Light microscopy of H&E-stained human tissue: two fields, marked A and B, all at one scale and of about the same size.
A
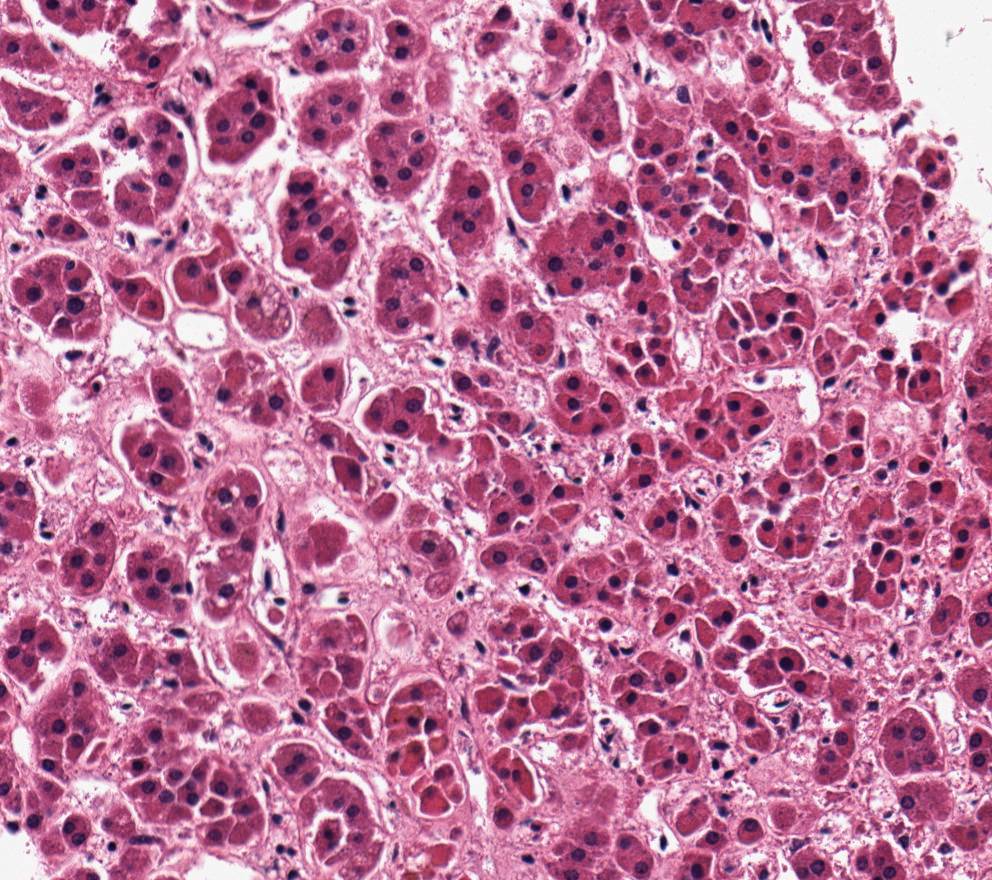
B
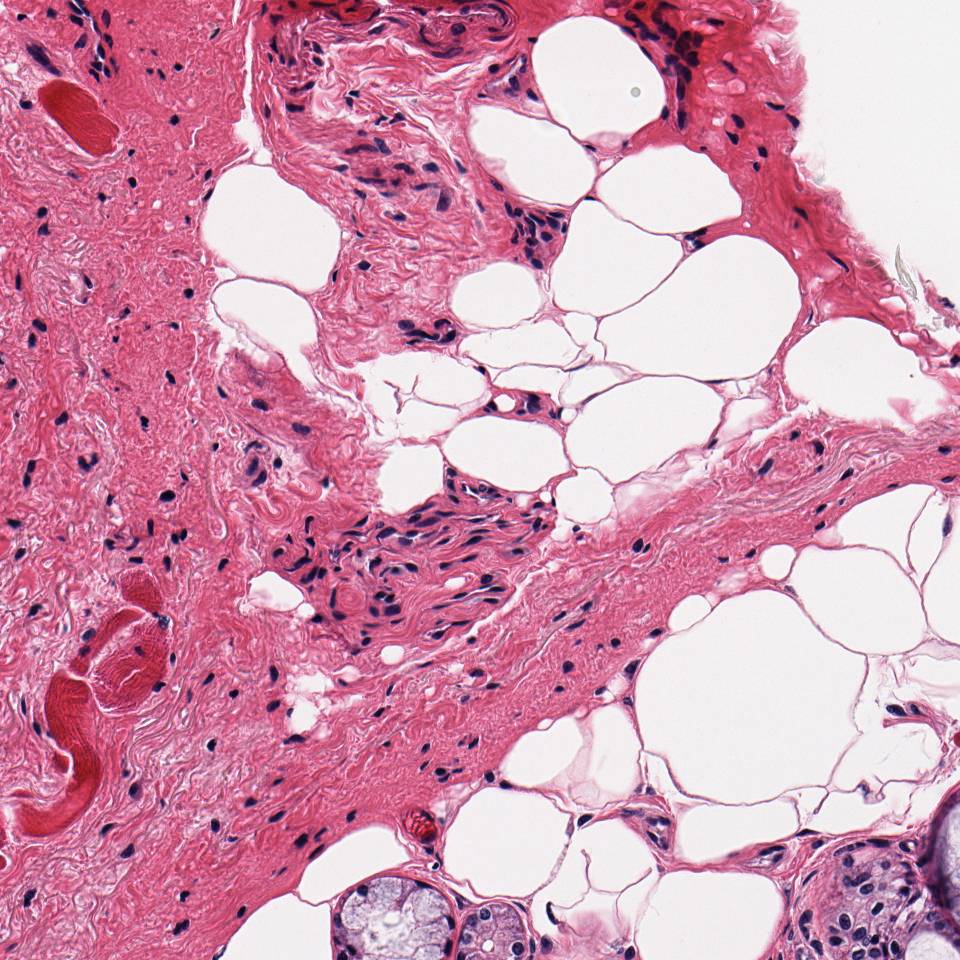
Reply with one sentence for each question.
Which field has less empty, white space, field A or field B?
Unstained space takes up less of field A than of field B.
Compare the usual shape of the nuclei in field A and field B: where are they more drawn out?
It is field B whose nuclei are the more elongated.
